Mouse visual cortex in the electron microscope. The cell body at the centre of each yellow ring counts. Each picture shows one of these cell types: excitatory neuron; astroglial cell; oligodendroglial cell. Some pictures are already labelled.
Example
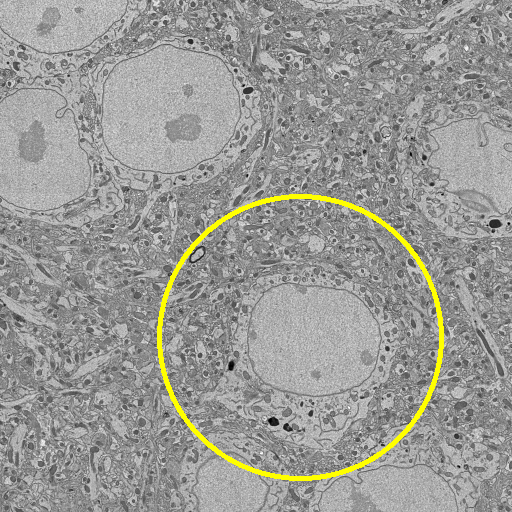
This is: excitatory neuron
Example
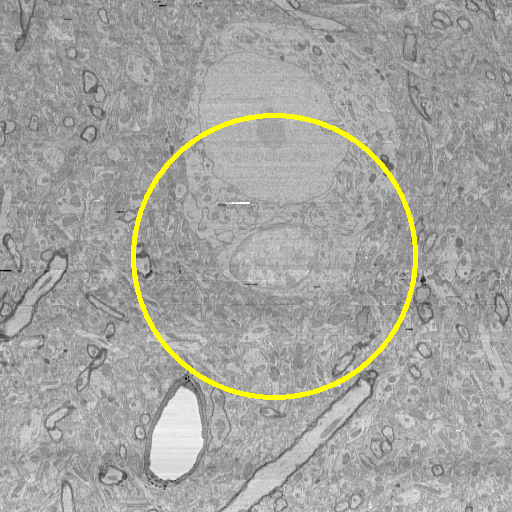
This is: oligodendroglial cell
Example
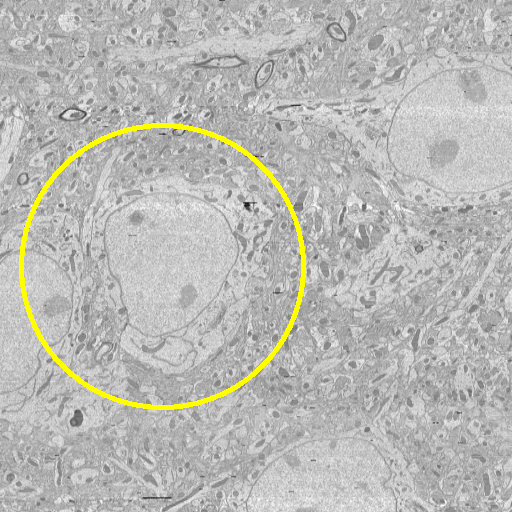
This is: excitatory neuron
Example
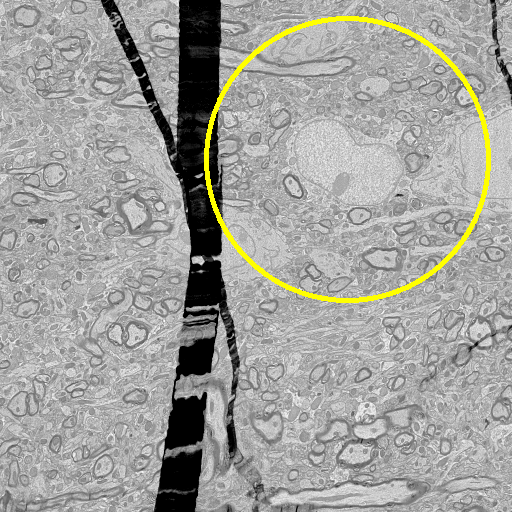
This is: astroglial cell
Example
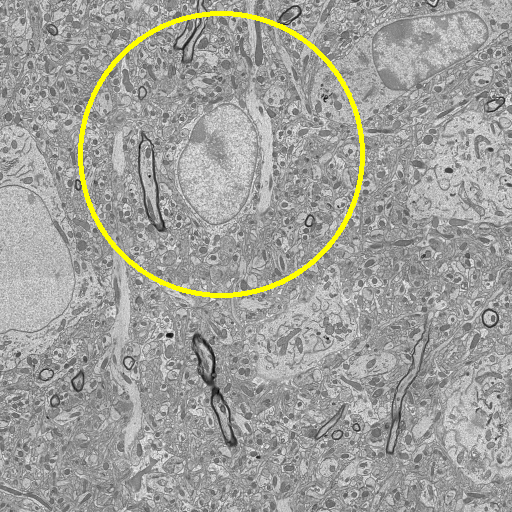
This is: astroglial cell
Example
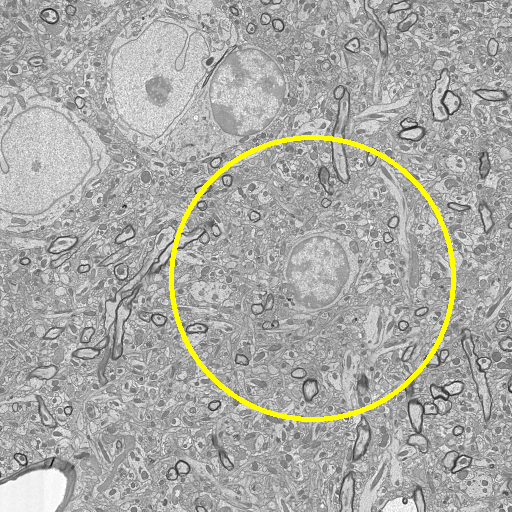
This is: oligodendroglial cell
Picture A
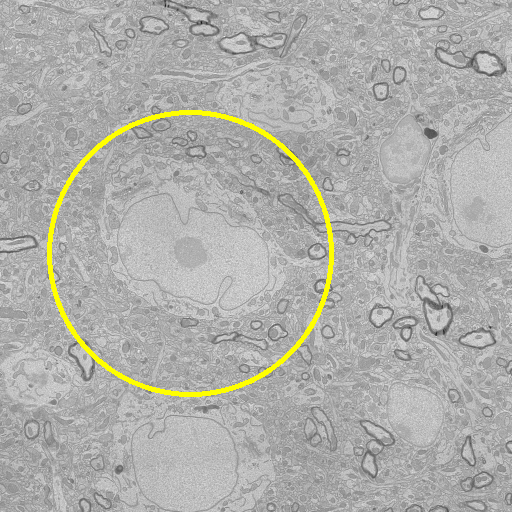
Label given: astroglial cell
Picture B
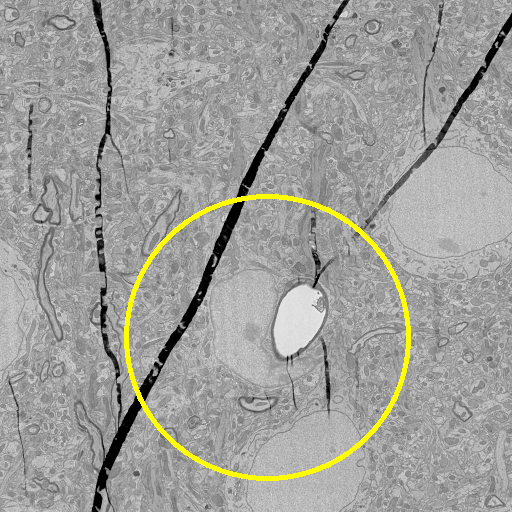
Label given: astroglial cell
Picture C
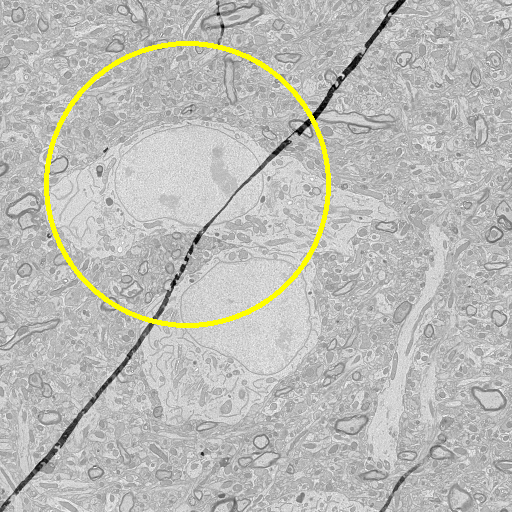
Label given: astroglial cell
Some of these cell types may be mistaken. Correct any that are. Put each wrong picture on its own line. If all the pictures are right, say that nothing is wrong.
A: not astroglial cell but excitatory neuron
C: not astroglial cell but excitatory neuron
